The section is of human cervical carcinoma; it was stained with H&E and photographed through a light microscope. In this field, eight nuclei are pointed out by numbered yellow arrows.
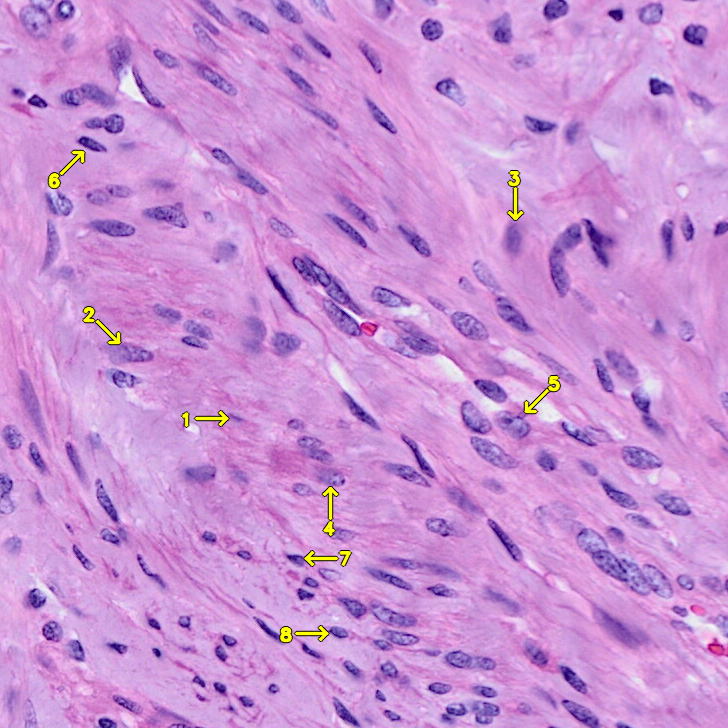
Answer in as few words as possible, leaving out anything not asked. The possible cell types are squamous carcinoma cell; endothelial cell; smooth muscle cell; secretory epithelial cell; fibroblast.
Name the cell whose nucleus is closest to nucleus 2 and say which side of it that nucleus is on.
a fibroblast below nucleus 2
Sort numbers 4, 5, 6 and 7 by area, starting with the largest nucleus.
5, 4, 6, 7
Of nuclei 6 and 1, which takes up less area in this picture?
1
